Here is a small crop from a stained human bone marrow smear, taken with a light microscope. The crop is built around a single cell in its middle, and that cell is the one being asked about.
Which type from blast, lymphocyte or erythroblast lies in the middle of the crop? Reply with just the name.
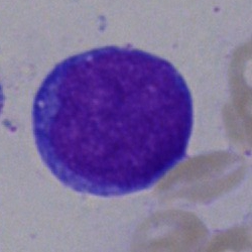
blast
